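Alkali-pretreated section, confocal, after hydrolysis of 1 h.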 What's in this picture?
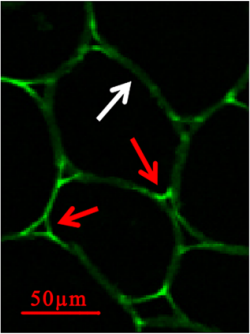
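Parenchyma cells at high magnification, walls seen as green lines around dark empty lumens. The cells are large, rounded polygonal and thin-walled. Where three walls meet, the green fluorescence is brighter and thicker, forming bright nodes at the cell corners. Along the middle of each wall the green line is thin and dimmer, in places almost faint. No nuclei or cytoplasm are visible; only the wall outline is labelled.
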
